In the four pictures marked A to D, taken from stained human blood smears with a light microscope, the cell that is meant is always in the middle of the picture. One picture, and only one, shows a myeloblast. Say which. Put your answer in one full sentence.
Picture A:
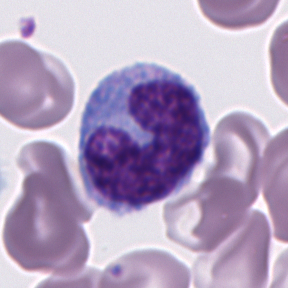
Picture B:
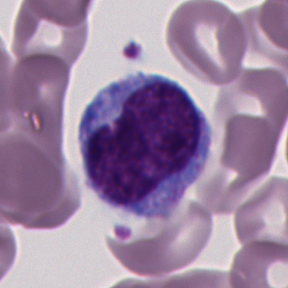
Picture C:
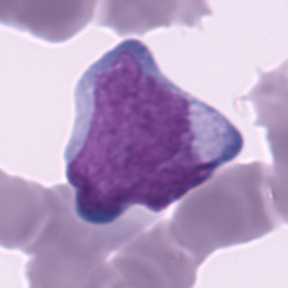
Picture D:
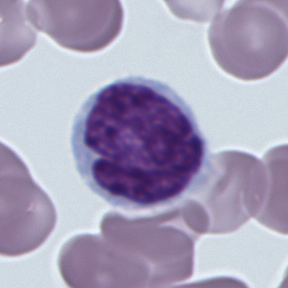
The picture with the myeloblast is C.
